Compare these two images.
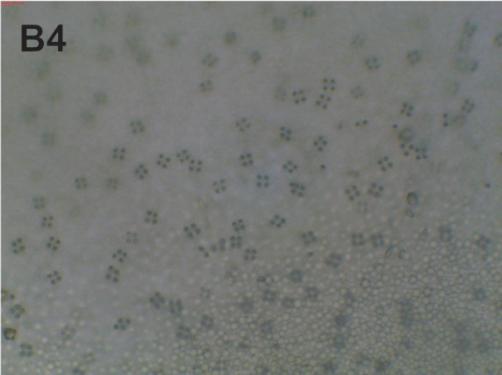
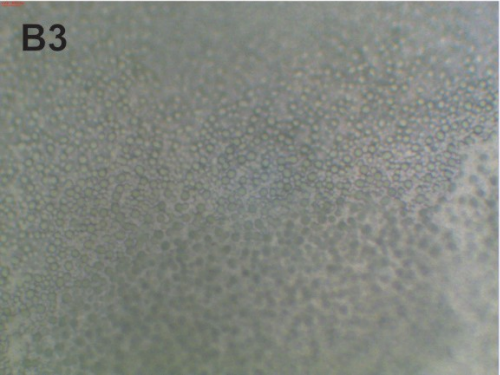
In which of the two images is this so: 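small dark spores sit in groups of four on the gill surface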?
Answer: The first image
